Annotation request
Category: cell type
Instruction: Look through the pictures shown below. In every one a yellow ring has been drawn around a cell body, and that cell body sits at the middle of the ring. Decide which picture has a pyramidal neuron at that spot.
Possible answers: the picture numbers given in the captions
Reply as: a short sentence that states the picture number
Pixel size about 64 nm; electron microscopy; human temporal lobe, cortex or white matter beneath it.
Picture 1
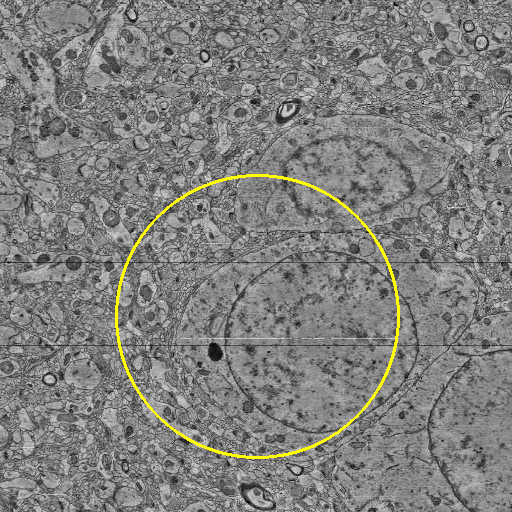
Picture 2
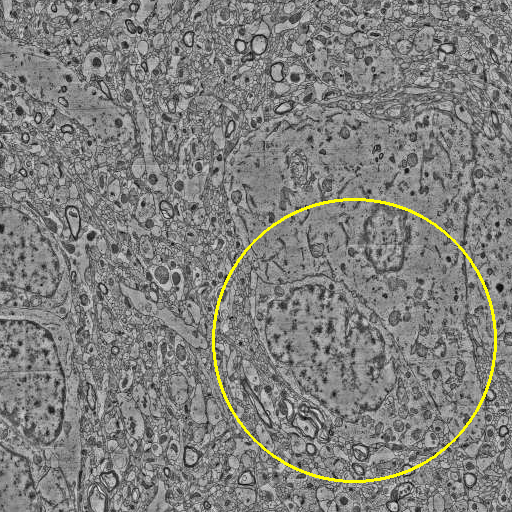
It is in Picture 1.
